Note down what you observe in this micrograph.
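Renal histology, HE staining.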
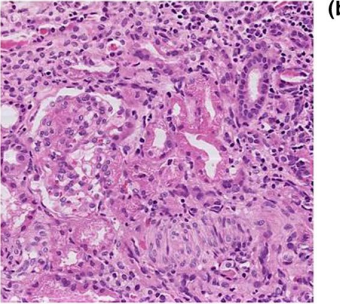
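Kidney cortex with glomeruli, tubules and interstitium in pink and purple. The interstitium between the tubules is crowded with small dark round nuclei of inflammatory cells.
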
